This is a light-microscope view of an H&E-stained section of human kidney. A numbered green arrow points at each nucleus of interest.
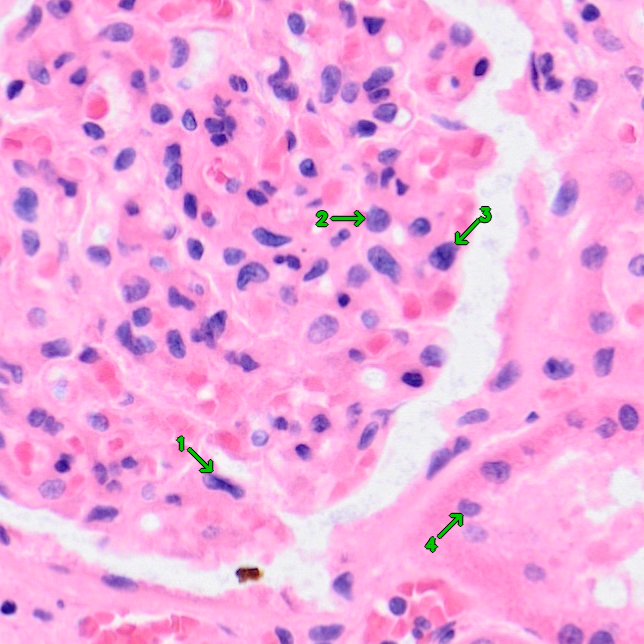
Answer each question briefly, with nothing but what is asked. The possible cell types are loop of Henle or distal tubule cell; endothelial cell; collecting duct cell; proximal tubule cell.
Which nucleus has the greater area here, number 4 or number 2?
2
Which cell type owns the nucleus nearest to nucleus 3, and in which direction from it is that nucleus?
an endothelial cell, above and to the left of nucleus 3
